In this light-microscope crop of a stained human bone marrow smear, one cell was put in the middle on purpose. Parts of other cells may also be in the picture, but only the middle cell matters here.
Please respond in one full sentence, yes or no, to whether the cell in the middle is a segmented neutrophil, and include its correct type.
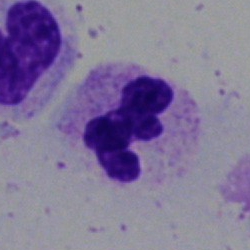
Yes, the cell centred in the field of view is a segmented neutrophil.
